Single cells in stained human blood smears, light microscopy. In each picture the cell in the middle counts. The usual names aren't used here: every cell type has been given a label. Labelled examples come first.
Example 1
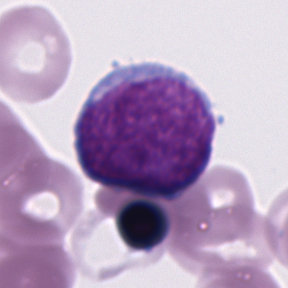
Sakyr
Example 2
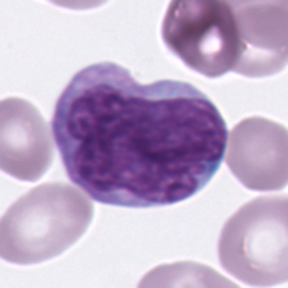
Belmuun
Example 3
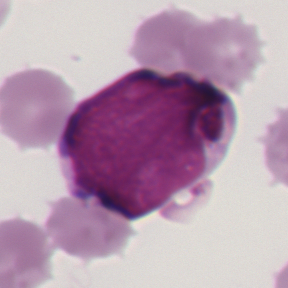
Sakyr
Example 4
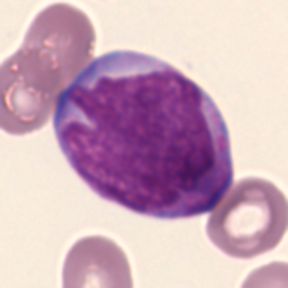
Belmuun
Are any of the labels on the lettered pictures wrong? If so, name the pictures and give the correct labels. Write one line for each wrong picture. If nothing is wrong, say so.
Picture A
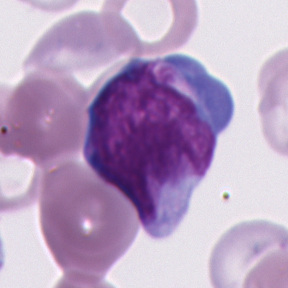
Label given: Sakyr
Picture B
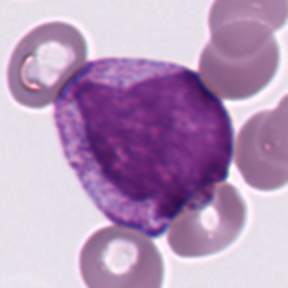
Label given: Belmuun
No label is wrong.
